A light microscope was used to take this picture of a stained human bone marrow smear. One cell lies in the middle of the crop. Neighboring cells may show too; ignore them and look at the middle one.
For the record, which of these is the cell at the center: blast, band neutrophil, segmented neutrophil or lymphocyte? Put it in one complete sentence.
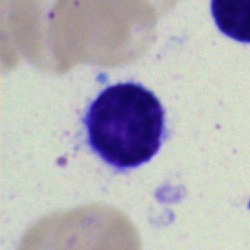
At the crop's centre, the cell is a lymphocyte.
